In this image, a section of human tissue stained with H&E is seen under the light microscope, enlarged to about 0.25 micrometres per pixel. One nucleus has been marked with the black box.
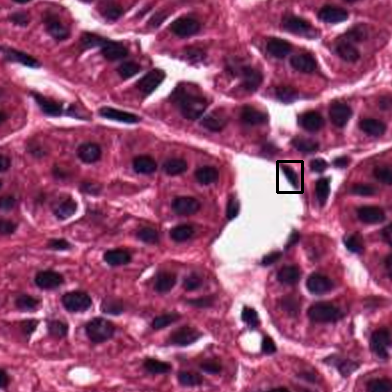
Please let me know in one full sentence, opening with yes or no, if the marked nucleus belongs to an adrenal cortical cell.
No, the marked nucleus is to be assigned to a supporting cell, not to an adrenal cortical cell.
